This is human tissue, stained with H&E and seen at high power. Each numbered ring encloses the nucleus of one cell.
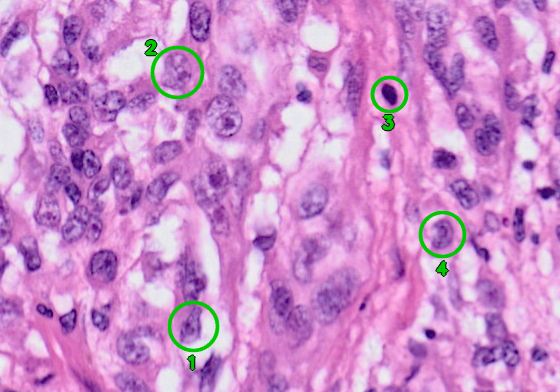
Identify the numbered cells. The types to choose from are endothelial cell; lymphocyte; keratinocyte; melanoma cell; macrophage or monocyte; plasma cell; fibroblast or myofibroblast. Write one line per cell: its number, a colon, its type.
1: melanoma cell
2: melanoma cell
3: lymphocyte
4: melanoma cell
